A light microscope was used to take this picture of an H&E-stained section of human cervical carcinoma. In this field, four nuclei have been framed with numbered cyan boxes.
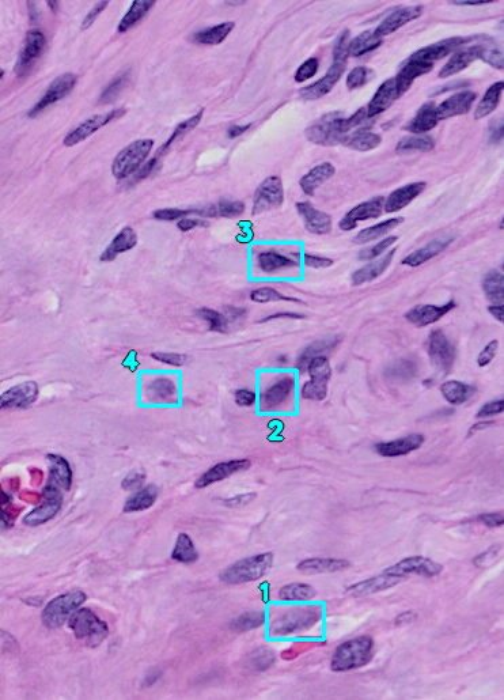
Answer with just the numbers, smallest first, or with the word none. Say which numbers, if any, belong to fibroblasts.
2, 3, 4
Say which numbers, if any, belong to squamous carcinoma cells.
none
